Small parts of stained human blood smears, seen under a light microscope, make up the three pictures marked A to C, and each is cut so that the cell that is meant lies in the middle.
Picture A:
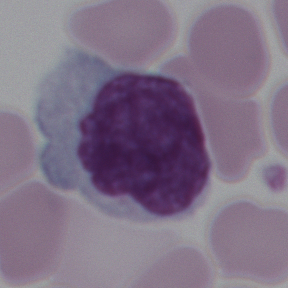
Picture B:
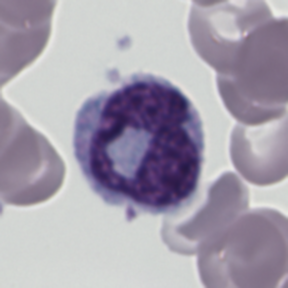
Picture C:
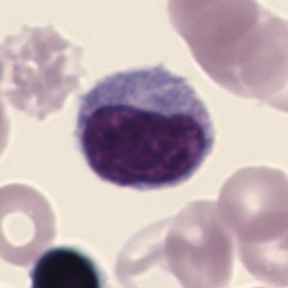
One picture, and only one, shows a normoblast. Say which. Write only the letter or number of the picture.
C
